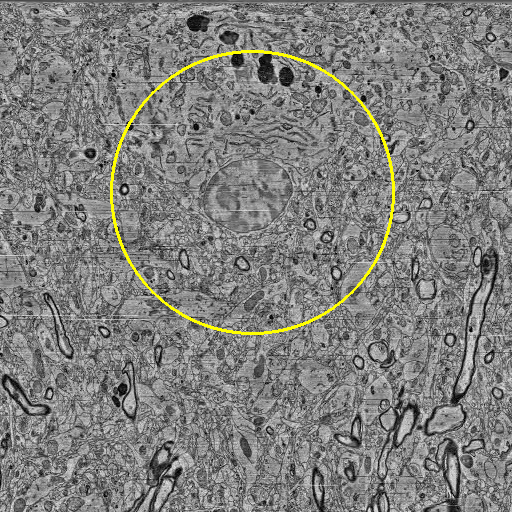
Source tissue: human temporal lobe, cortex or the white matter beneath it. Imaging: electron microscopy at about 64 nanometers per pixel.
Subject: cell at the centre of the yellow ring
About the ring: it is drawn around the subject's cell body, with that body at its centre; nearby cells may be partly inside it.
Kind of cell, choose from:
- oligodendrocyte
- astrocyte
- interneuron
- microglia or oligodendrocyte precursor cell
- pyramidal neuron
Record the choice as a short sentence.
The subject cell is a microglial cell or oligodendrocyte precursor cell.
